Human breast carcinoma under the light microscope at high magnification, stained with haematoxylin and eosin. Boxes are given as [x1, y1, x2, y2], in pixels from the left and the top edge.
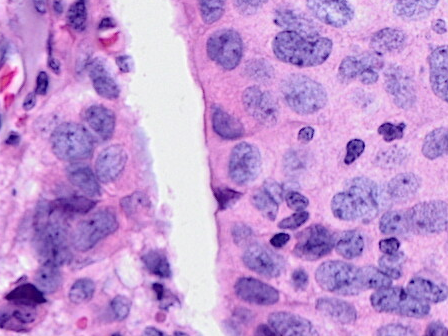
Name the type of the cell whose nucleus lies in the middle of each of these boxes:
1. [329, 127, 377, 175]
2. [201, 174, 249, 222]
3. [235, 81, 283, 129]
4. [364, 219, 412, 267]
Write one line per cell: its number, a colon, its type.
1: lymphocyte
2: carcinoma cell
3: carcinoma cell
4: lymphocyte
